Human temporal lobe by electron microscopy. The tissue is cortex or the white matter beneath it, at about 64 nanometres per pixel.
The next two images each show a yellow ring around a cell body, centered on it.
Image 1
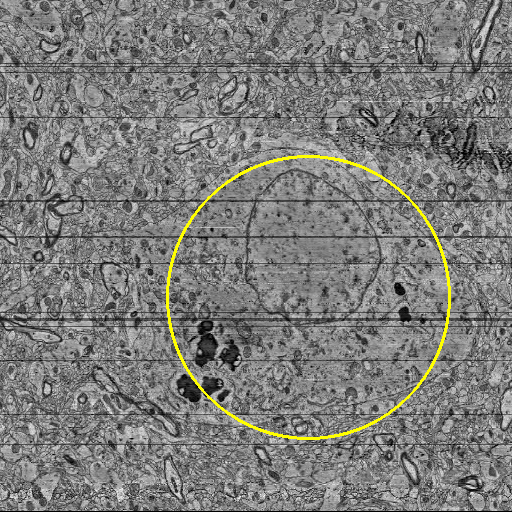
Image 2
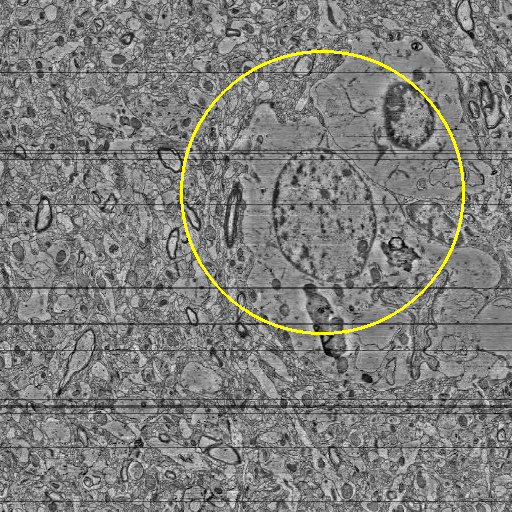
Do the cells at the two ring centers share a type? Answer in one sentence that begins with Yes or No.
No, across the two images the cells at the ring centers are of two types.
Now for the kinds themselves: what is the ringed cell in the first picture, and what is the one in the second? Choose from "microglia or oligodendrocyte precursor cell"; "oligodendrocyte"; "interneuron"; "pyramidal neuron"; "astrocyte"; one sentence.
Here the first cell is a pyramidal neuron and the second cell is an astrocyte.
